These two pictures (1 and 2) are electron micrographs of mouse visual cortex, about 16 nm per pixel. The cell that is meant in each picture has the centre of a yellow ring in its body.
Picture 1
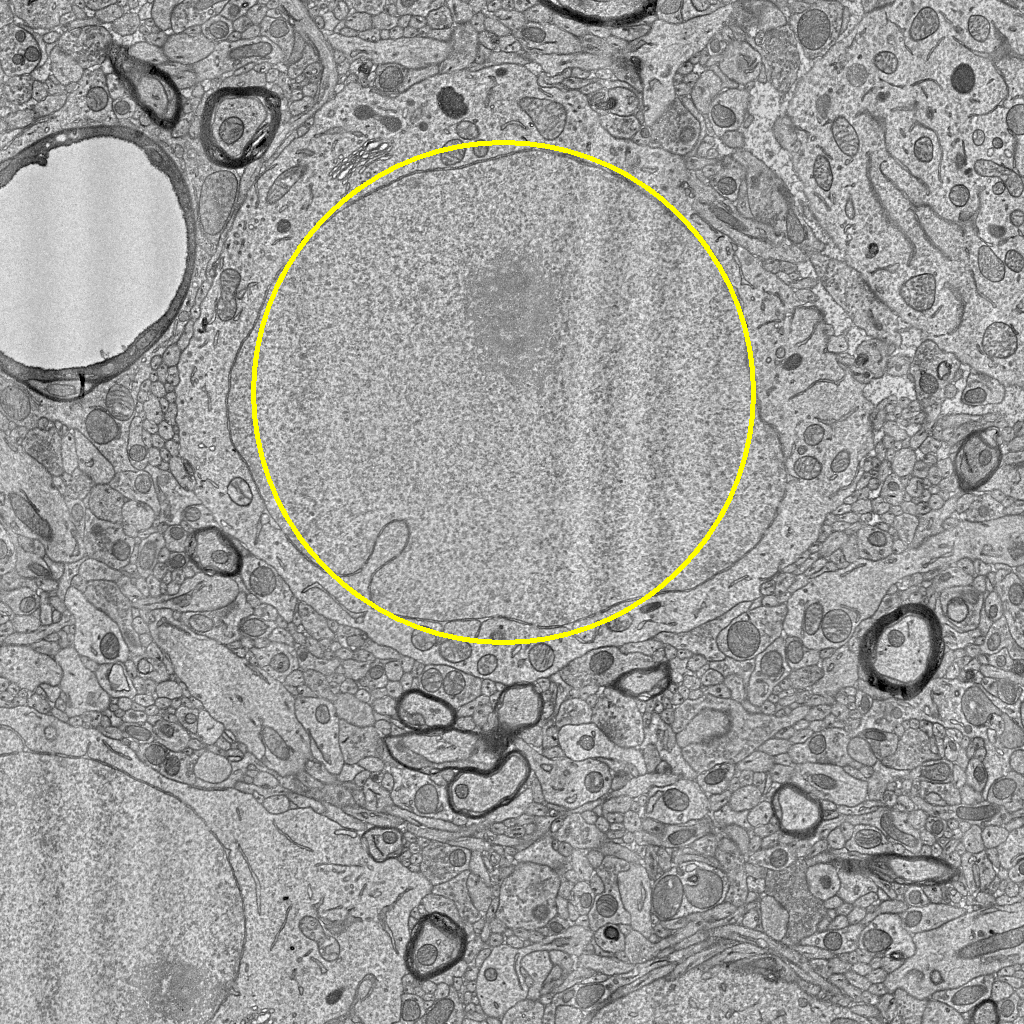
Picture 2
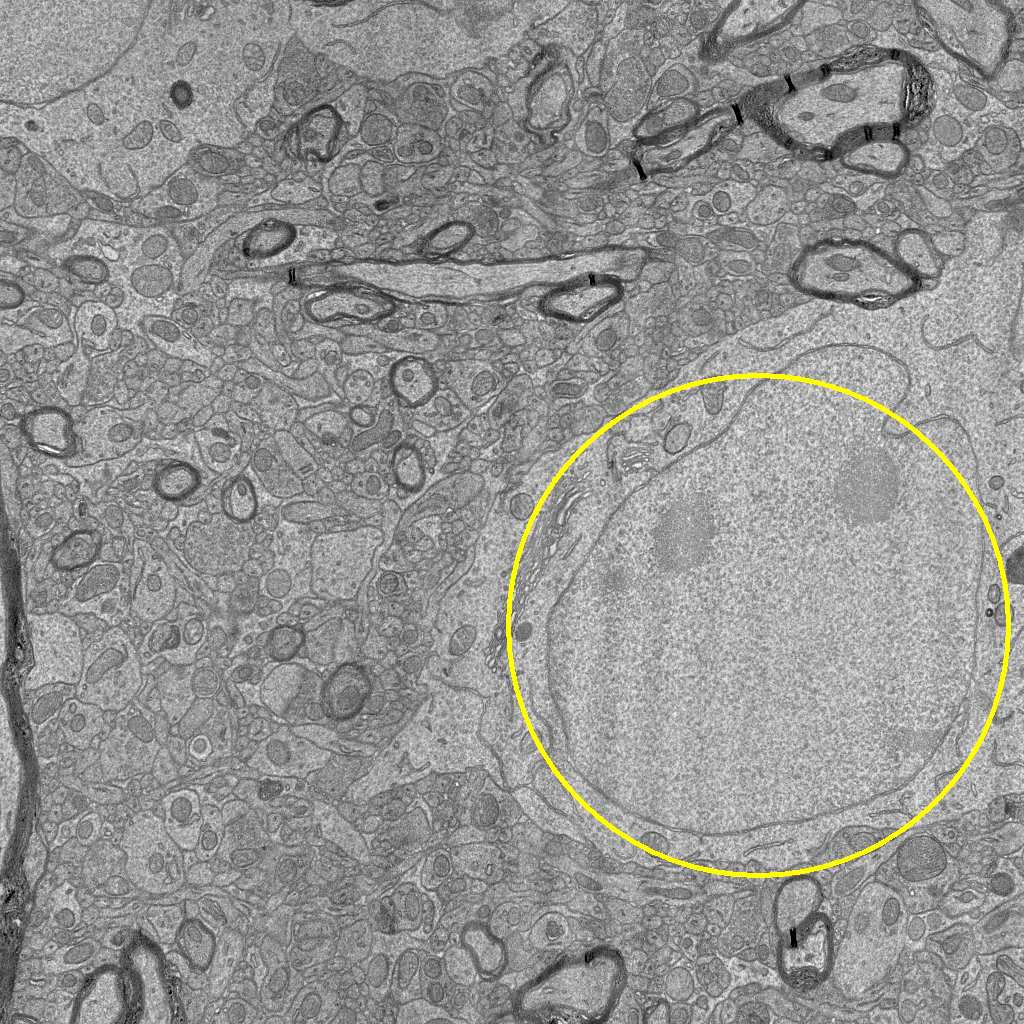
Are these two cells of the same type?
Yes, both are excitatory neurons.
